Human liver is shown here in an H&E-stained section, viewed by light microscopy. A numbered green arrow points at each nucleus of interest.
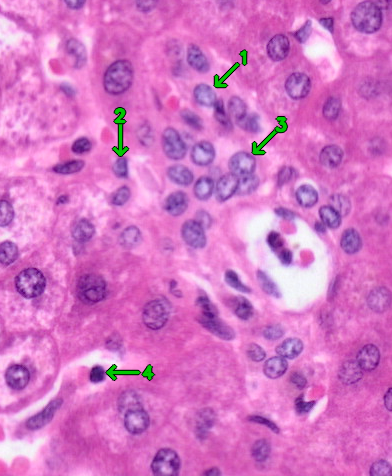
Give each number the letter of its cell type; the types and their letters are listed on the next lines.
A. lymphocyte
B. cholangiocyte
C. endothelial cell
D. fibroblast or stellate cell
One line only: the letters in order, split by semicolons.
B; D; B; A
